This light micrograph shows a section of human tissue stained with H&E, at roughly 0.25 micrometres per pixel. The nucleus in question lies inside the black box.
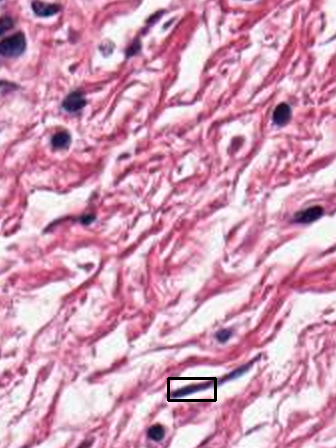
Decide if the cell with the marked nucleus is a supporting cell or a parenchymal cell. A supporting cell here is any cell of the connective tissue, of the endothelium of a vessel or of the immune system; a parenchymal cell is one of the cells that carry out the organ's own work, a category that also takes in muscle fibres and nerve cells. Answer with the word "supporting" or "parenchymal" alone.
supporting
